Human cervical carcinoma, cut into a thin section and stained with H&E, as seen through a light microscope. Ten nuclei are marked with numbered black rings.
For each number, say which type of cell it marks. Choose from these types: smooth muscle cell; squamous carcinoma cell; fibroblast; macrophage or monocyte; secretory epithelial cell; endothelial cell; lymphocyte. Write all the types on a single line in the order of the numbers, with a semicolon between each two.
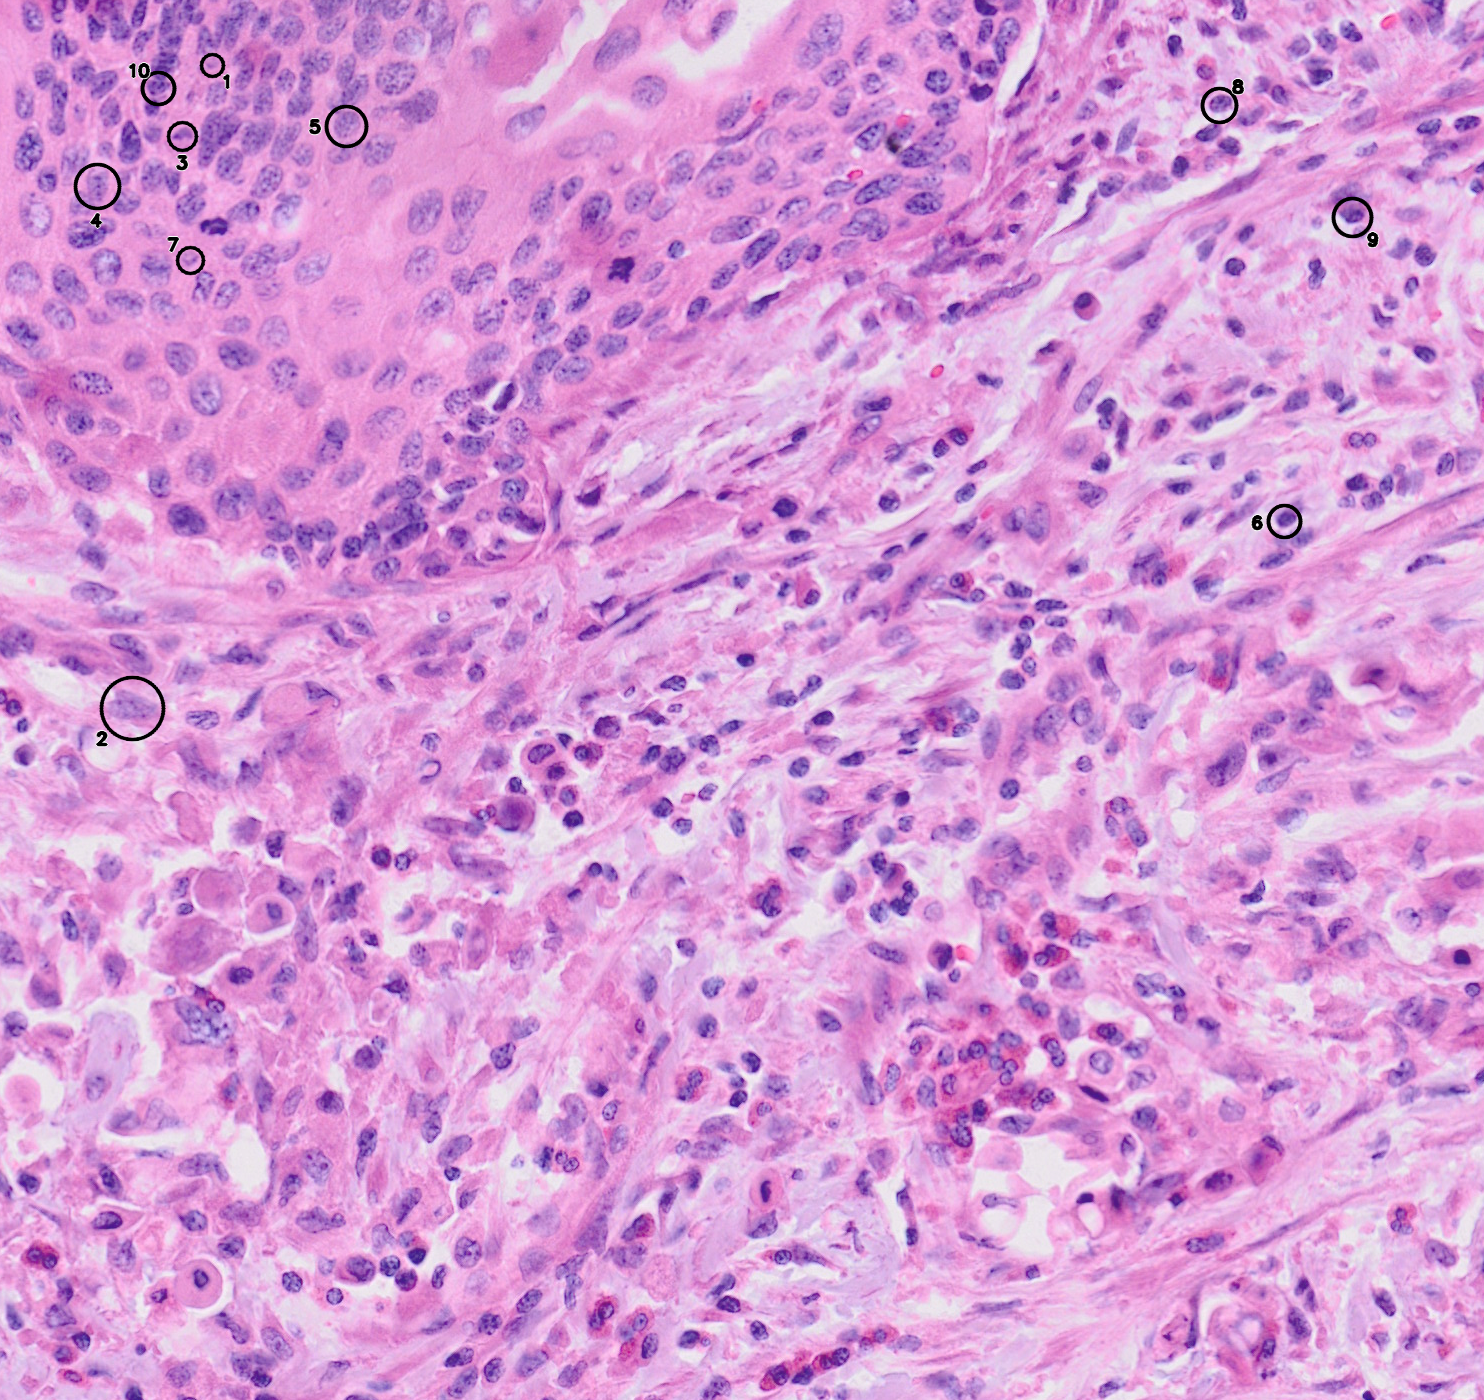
squamous carcinoma cell; fibroblast; squamous carcinoma cell; squamous carcinoma cell; squamous carcinoma cell; lymphocyte; squamous carcinoma cell; lymphocyte; lymphocyte; squamous carcinoma cell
